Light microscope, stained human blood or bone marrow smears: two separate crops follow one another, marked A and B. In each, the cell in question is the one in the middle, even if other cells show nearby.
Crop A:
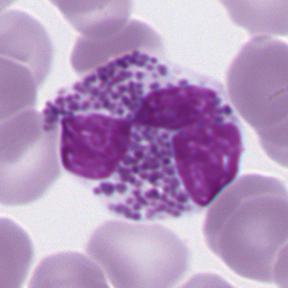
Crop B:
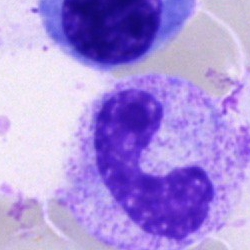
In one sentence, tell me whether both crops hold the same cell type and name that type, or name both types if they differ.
No, an eosinophil is depicted by crop A, a band neutrophil by crop B.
